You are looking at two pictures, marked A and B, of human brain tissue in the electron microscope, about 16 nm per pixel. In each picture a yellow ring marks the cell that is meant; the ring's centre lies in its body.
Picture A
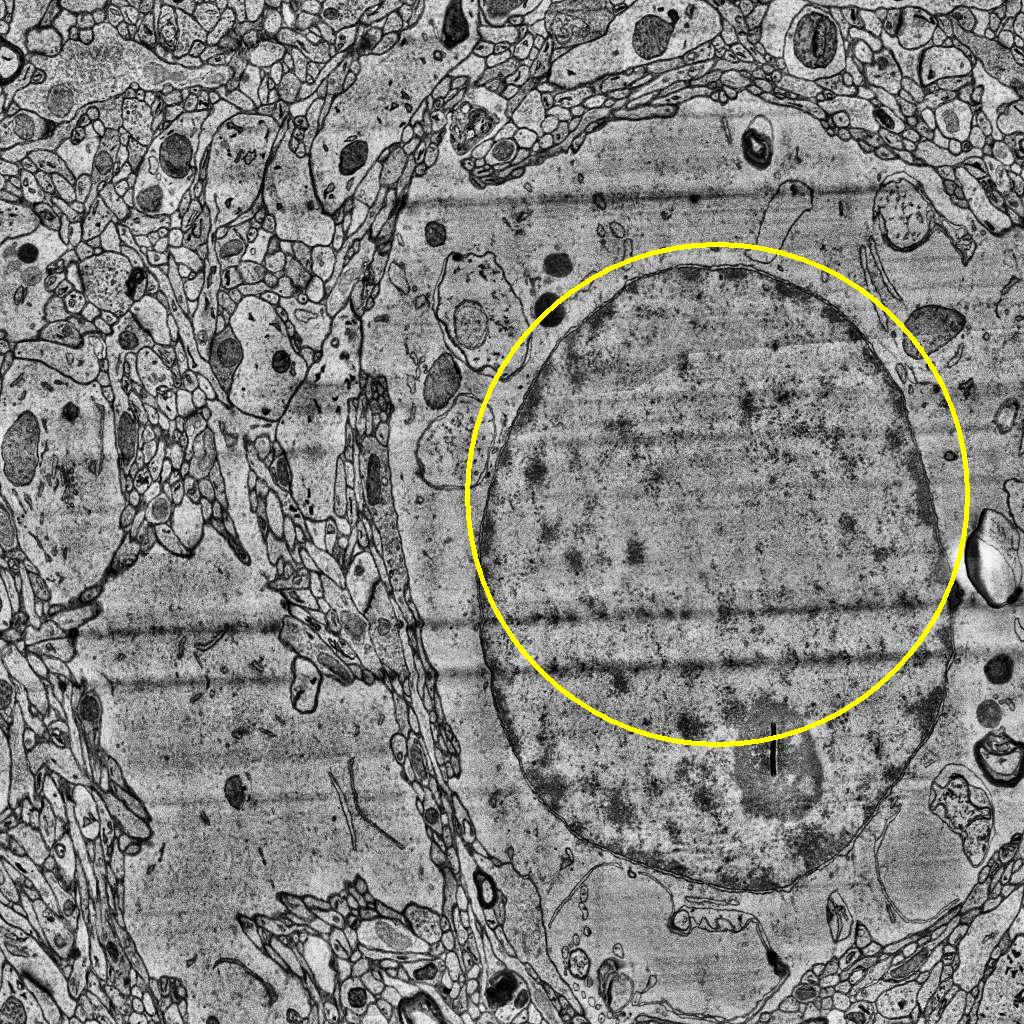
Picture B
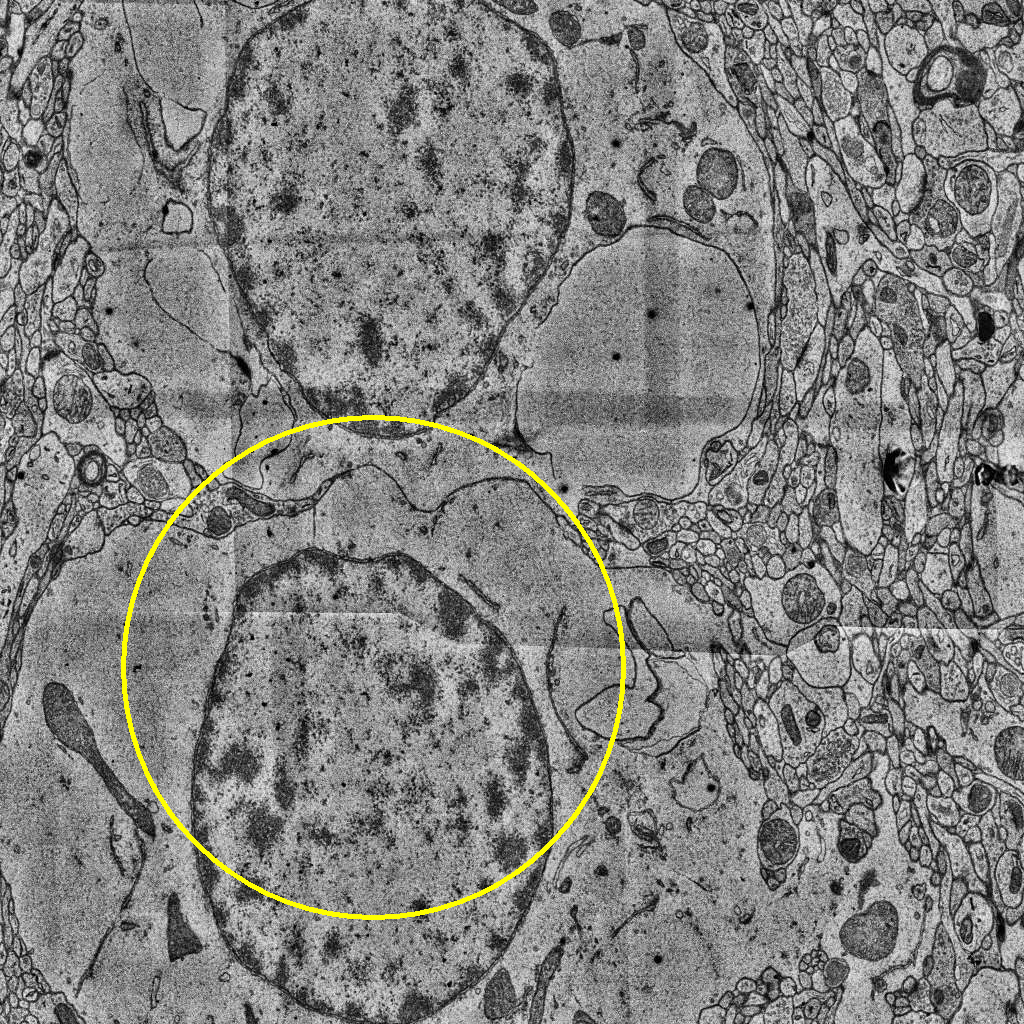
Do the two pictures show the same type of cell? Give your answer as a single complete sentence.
Yes; the cells in both pictures are astrocytes.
